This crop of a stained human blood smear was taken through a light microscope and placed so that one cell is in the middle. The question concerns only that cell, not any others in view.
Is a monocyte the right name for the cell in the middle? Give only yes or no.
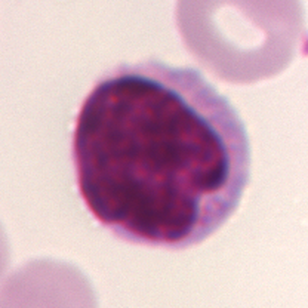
no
